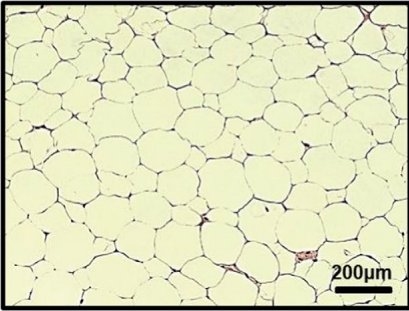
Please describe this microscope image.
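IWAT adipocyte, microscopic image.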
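A field of large, tightly packed polygonal to rounded cells fills the section, each with a pale, empty-looking interior bounded by a thin purple-pink rim. Small dark nuclei are squeezed flat at the cell edges, and a few tiny vessels with red cells sit in the spaces where cells meet.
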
